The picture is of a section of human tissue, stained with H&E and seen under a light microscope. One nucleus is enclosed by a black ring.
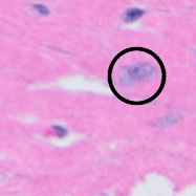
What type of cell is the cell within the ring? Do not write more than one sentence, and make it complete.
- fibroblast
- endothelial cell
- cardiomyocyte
In this preparation, the cell within the ring is a cardiomyocyte.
